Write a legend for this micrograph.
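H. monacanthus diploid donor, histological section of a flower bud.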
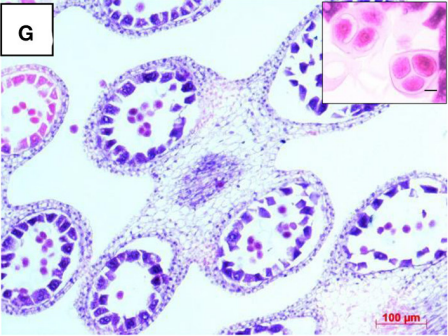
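A cross-section of an anther shows several oval pollen sacs around a central strand of small, densely stained cells. Each sac is bounded by a wall of a few cell layers whose innermost cells are dark purple, and its cavity holds scattered round cells with dense pink-purple contents.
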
